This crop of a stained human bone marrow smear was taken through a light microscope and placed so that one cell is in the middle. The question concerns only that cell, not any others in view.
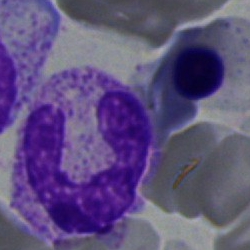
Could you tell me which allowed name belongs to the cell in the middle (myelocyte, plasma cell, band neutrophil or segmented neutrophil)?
band neutrophil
